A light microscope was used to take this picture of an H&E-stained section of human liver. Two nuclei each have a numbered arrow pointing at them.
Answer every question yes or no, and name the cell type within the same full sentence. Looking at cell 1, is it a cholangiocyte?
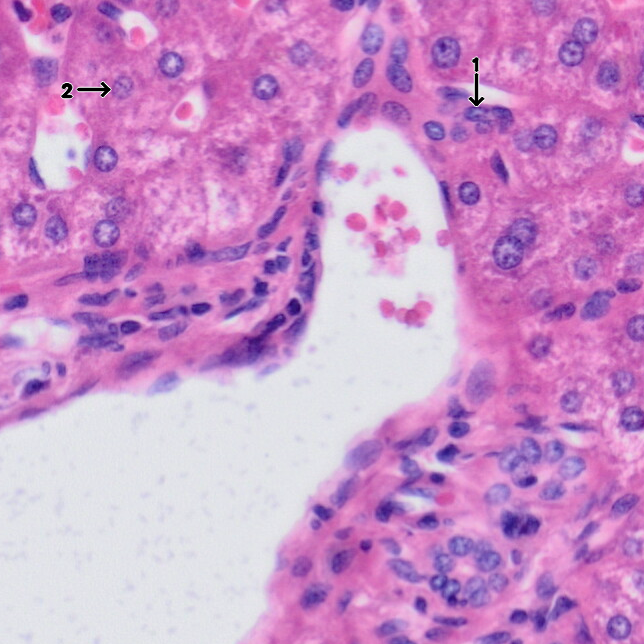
Yes, cell 1 is a cholangiocyte in this tissue section.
